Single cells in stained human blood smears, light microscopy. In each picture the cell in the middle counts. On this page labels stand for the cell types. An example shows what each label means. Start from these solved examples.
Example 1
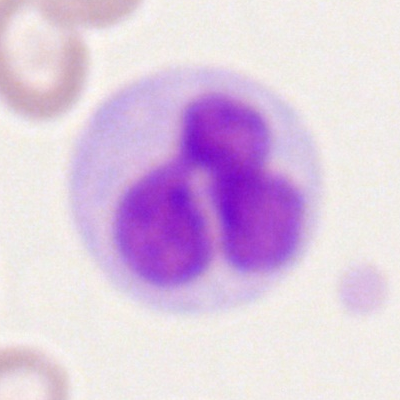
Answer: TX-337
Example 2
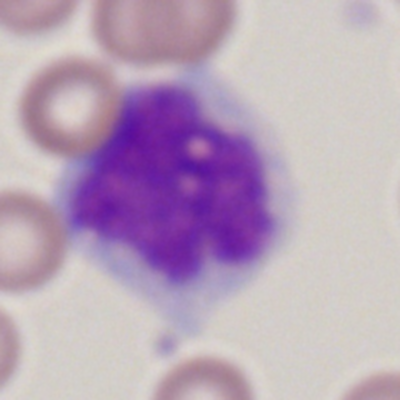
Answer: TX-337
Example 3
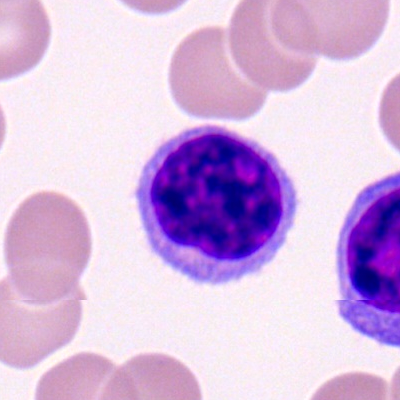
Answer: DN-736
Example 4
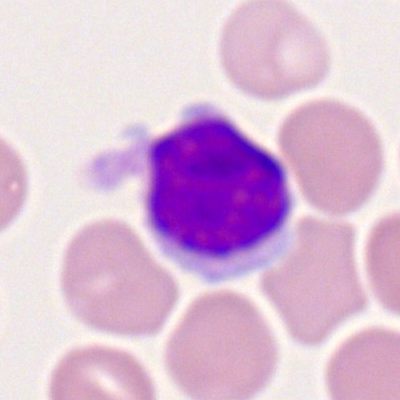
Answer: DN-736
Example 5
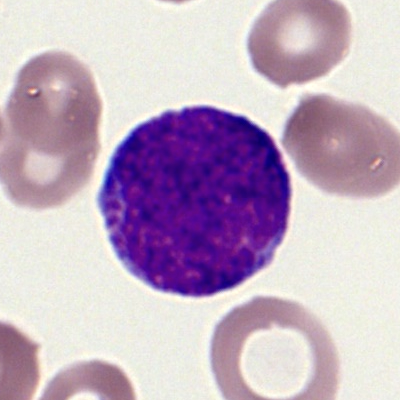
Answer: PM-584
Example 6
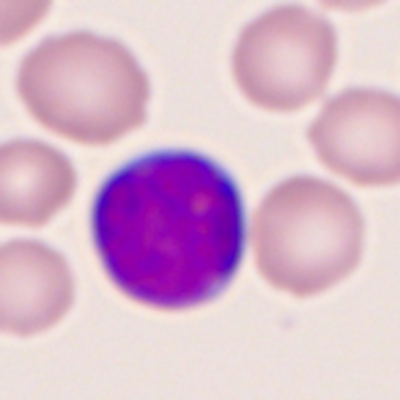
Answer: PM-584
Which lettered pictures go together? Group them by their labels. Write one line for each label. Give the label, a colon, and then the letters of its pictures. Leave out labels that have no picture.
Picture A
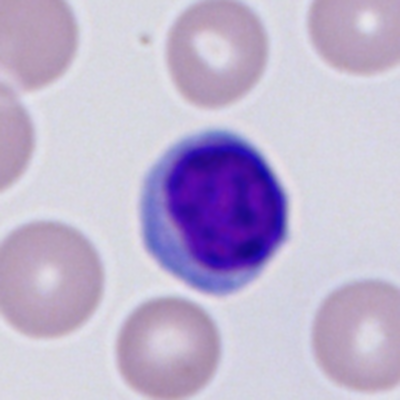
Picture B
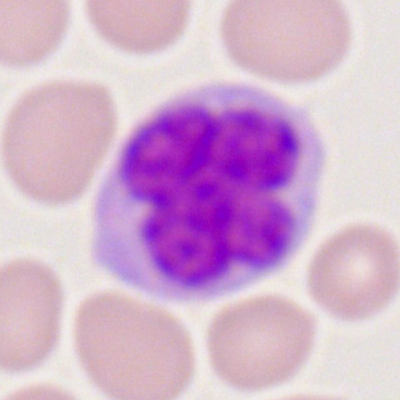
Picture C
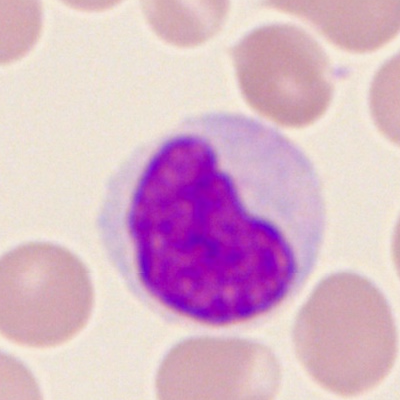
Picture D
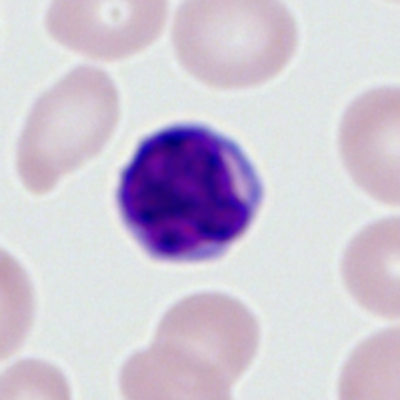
TX-337: B, C
DN-736: A, D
